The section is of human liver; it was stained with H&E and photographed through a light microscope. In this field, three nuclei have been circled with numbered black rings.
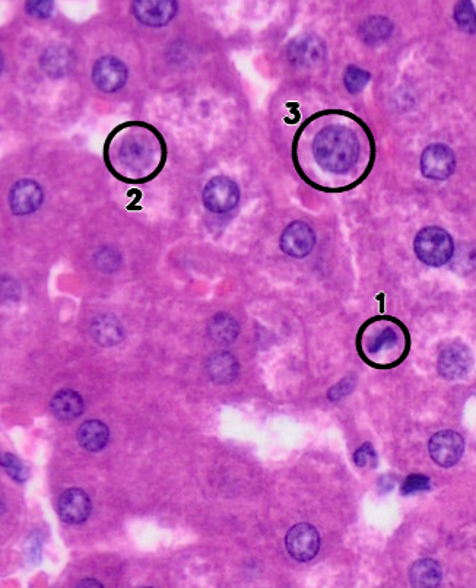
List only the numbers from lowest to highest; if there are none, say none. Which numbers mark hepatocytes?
2, 3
